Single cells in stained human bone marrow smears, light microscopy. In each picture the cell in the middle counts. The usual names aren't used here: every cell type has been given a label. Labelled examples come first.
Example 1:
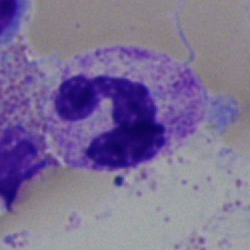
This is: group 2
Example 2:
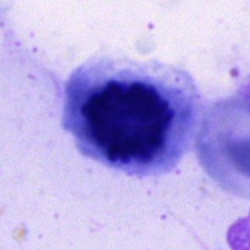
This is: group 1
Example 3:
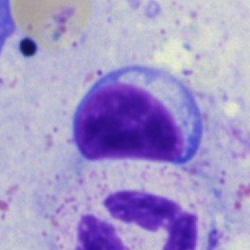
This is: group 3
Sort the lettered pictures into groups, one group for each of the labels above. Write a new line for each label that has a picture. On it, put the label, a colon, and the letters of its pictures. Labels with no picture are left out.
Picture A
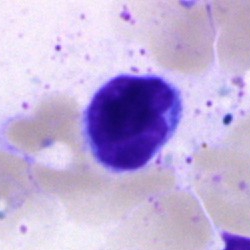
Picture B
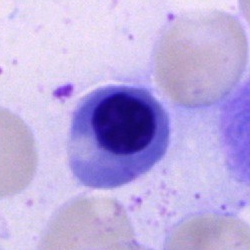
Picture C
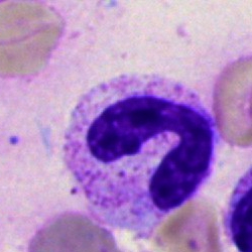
group 2: C
group 1: B
group 3: A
